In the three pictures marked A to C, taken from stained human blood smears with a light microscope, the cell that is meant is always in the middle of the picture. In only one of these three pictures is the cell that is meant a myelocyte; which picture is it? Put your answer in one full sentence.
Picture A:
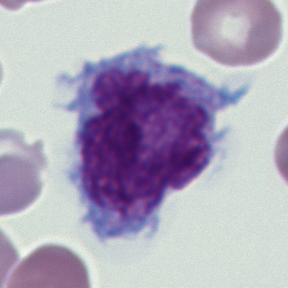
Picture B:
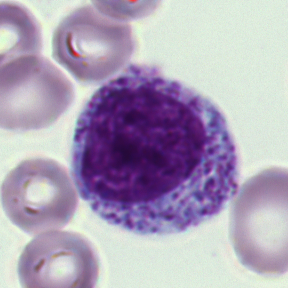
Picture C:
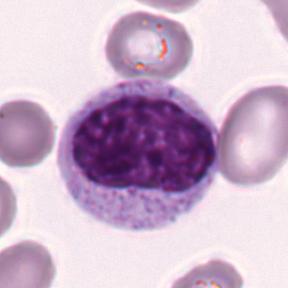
Picture B is the one that shows the myelocyte.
